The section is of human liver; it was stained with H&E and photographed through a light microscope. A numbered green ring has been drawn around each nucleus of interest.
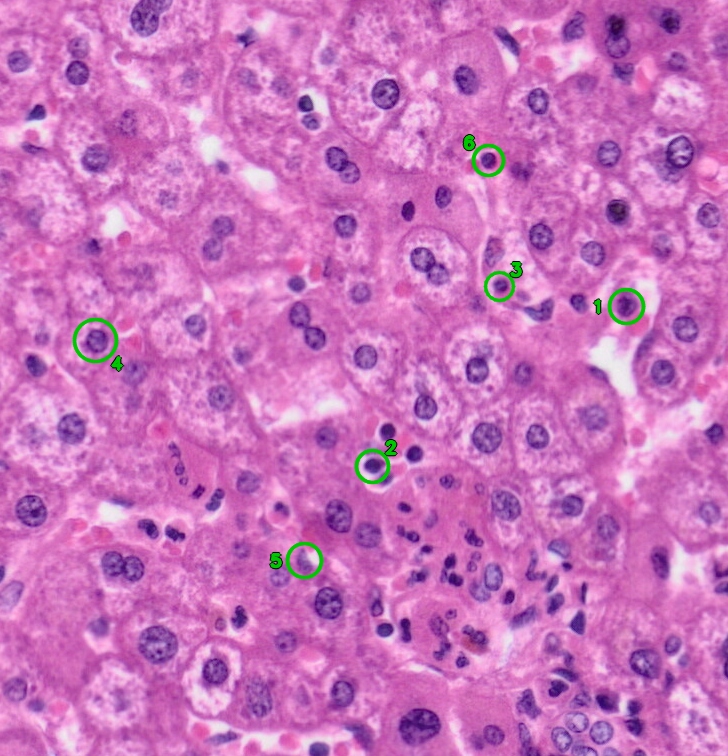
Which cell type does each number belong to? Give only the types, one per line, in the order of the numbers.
Kupffer cell
lymphocyte
lymphocyte
hepatocyte
endothelial cell
lymphocyte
